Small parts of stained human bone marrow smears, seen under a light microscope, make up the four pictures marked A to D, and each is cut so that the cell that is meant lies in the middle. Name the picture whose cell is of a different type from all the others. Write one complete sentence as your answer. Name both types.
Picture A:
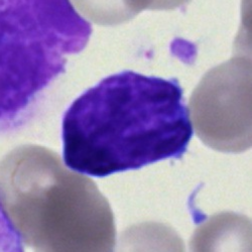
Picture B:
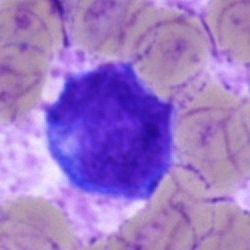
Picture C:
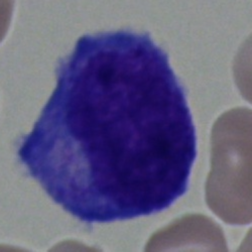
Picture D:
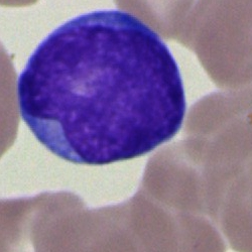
The different one is picture C; it shows a promyelocyte, whereas all the others show blasts.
